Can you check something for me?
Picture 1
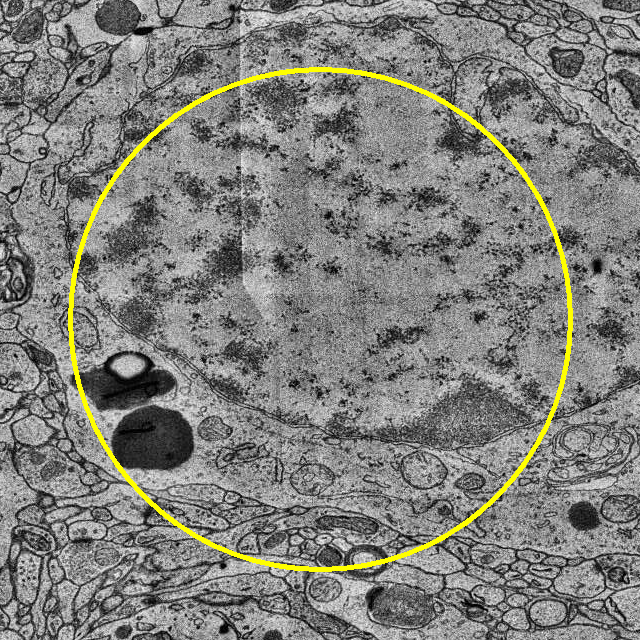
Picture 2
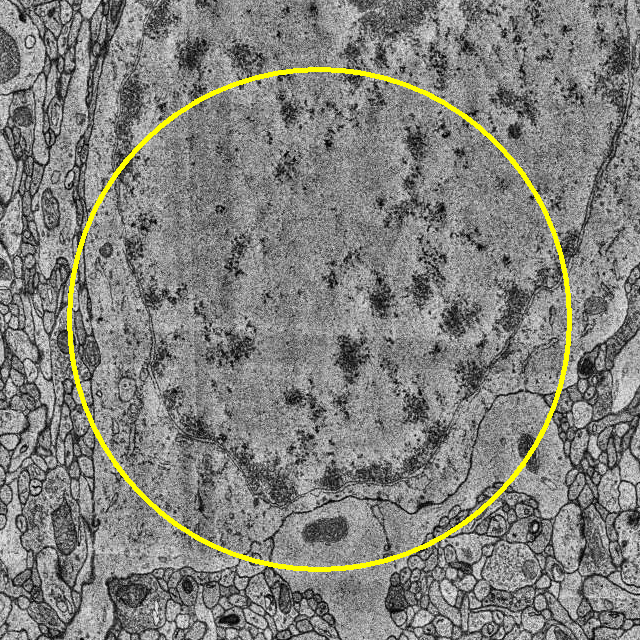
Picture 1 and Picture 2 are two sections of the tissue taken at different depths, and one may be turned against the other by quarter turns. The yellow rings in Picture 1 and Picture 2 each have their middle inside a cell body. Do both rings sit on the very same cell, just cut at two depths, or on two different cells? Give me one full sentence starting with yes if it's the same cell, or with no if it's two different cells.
No, one ring marks one cell and the other ring marks another.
